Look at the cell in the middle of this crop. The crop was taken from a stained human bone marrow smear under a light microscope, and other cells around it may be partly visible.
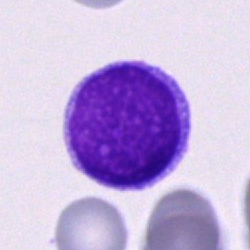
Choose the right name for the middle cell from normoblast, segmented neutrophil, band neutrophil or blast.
blast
